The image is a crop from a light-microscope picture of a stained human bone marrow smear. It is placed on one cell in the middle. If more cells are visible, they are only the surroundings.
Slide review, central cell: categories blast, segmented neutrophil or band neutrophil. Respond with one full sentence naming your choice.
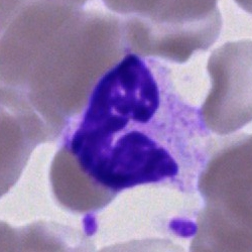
The centrally placed cell is classified as a segmented neutrophil.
